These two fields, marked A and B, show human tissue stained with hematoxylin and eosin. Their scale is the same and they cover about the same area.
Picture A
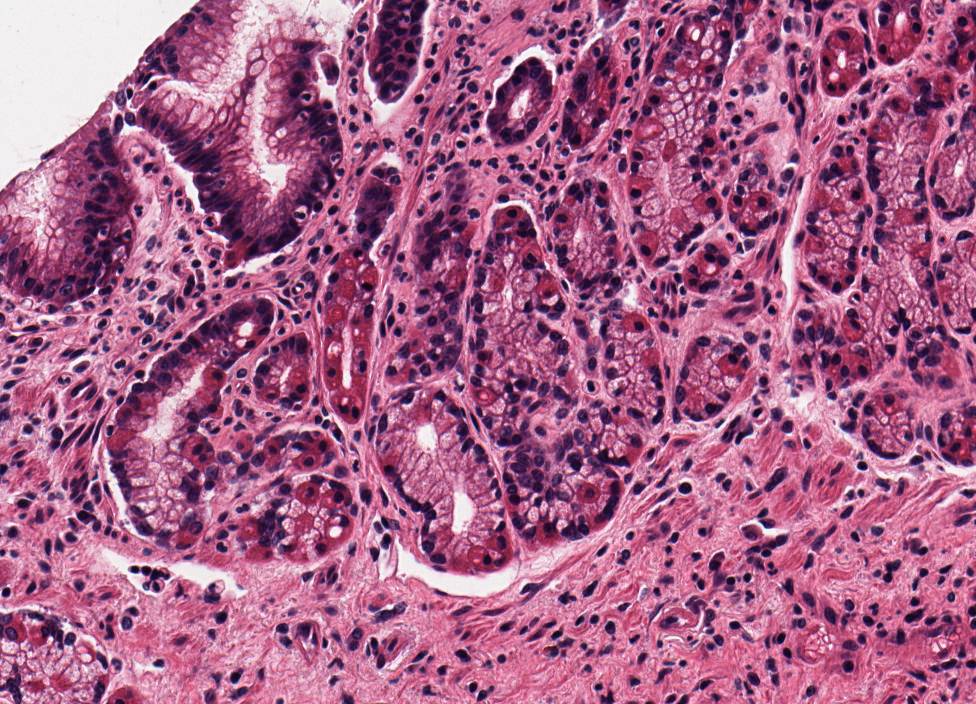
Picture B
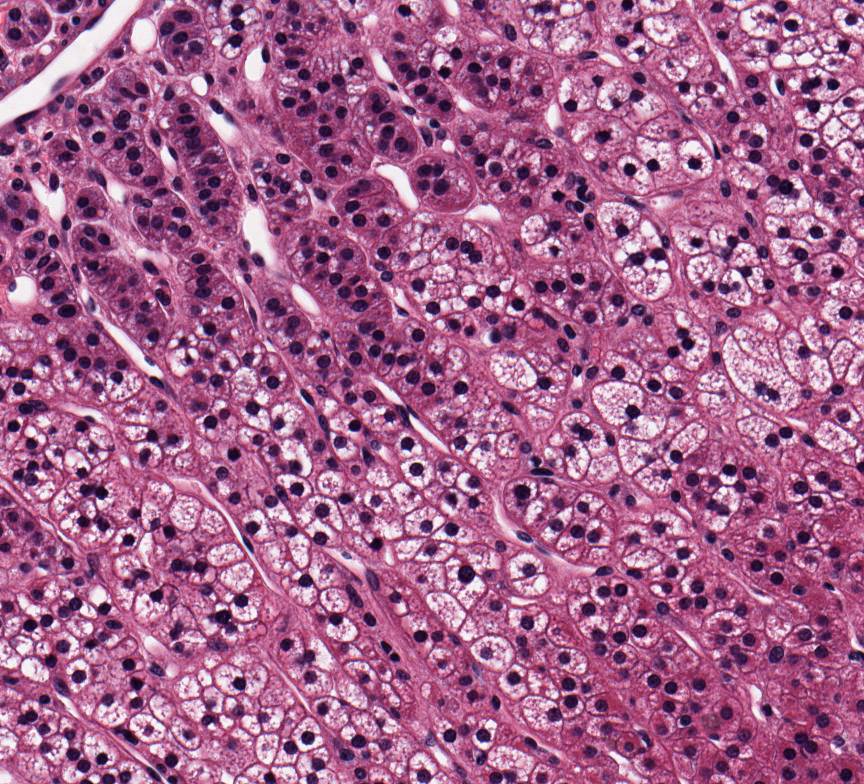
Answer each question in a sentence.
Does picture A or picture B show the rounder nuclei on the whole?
Rounder nuclei lie in picture B.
